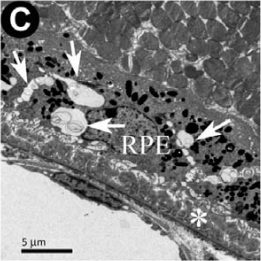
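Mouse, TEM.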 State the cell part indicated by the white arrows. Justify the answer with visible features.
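The arrows point to pale round to oval spaces, some with membranous content. They sit within the epithelial layer beside black granules.
Answer: vacuoles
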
